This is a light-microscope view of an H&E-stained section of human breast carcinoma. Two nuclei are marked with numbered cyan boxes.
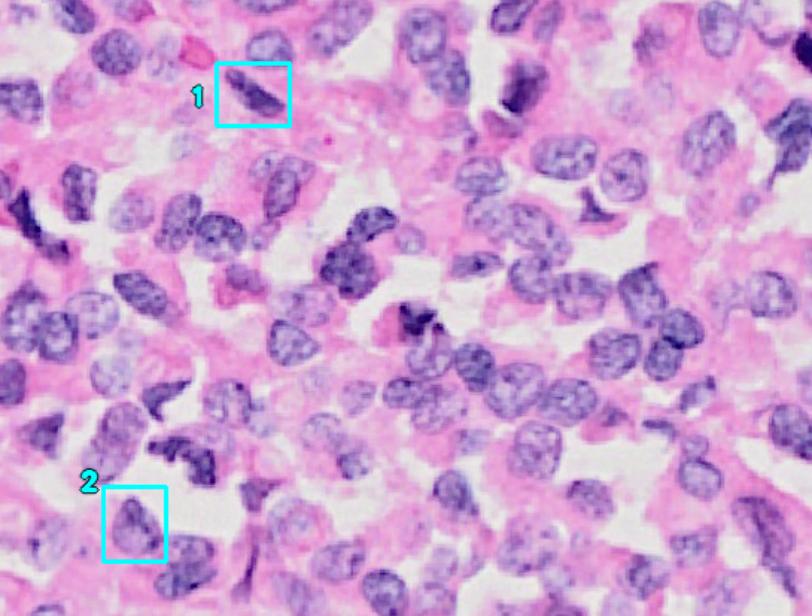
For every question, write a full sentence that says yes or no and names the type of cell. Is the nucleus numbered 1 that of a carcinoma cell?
No, number 1 identifies an endothelial cell, not a carcinoma cell.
